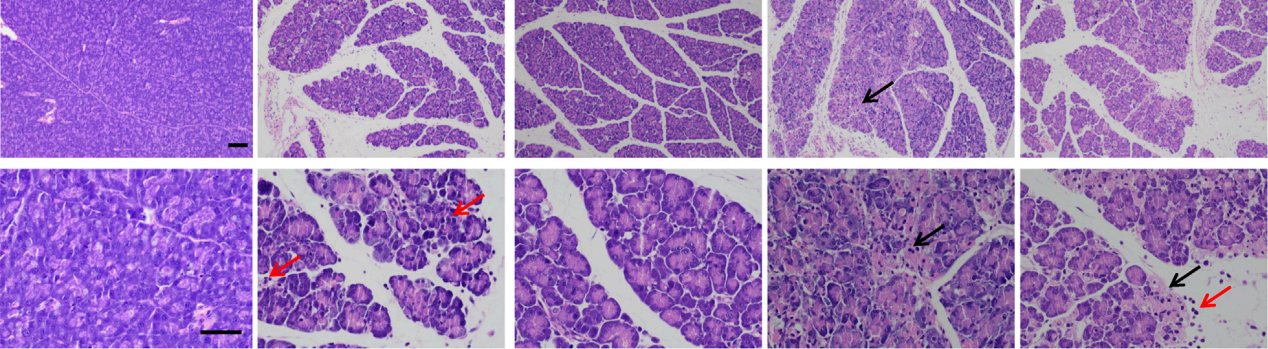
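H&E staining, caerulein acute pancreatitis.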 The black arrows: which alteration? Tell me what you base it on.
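Pancreas necrosis. The black arrows point to pale pink areas where acinar outlines are blurred. Around the arrows, nuclei are sparse or scattered rather than sitting neatly in intact acini.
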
